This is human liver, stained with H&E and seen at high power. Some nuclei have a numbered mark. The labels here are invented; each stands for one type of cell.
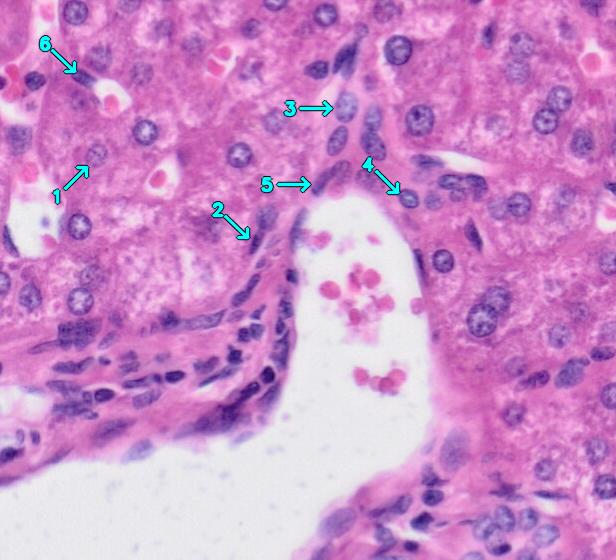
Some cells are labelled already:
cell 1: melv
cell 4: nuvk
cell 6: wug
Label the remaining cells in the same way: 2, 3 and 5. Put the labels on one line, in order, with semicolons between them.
wug; nuvk; wug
